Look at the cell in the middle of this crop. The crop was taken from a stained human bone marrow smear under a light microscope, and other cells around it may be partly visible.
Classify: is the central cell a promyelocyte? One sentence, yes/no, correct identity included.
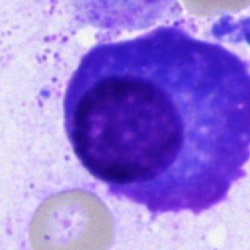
No, the cell found centrally in the crop is a plasma cell, not a promyelocyte.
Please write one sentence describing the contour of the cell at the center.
Because its outline is ragged or drawn out into projections, the cell lacks a smooth border.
